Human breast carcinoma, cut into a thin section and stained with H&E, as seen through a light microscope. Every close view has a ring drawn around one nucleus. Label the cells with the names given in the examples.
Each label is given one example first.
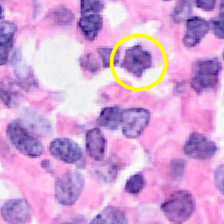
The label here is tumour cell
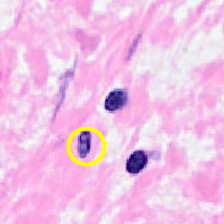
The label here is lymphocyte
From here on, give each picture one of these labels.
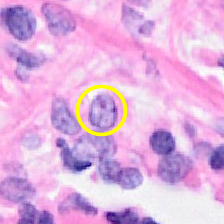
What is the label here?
tumour cell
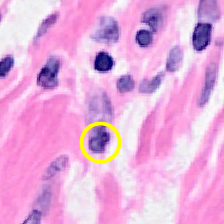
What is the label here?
lymphocyte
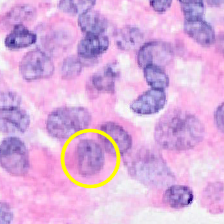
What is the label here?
tumour cell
